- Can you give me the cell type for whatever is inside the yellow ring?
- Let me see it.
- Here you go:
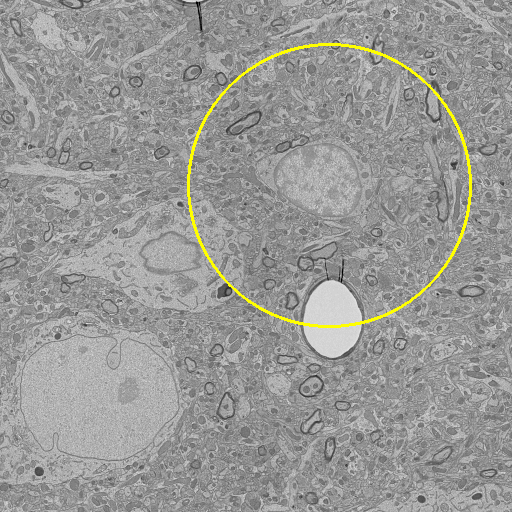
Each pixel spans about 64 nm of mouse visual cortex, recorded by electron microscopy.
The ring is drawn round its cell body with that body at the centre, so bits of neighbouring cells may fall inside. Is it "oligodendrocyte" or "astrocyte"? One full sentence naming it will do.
The cell body in the middle of the ring in this picture belongs to an oligodendrocyte.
